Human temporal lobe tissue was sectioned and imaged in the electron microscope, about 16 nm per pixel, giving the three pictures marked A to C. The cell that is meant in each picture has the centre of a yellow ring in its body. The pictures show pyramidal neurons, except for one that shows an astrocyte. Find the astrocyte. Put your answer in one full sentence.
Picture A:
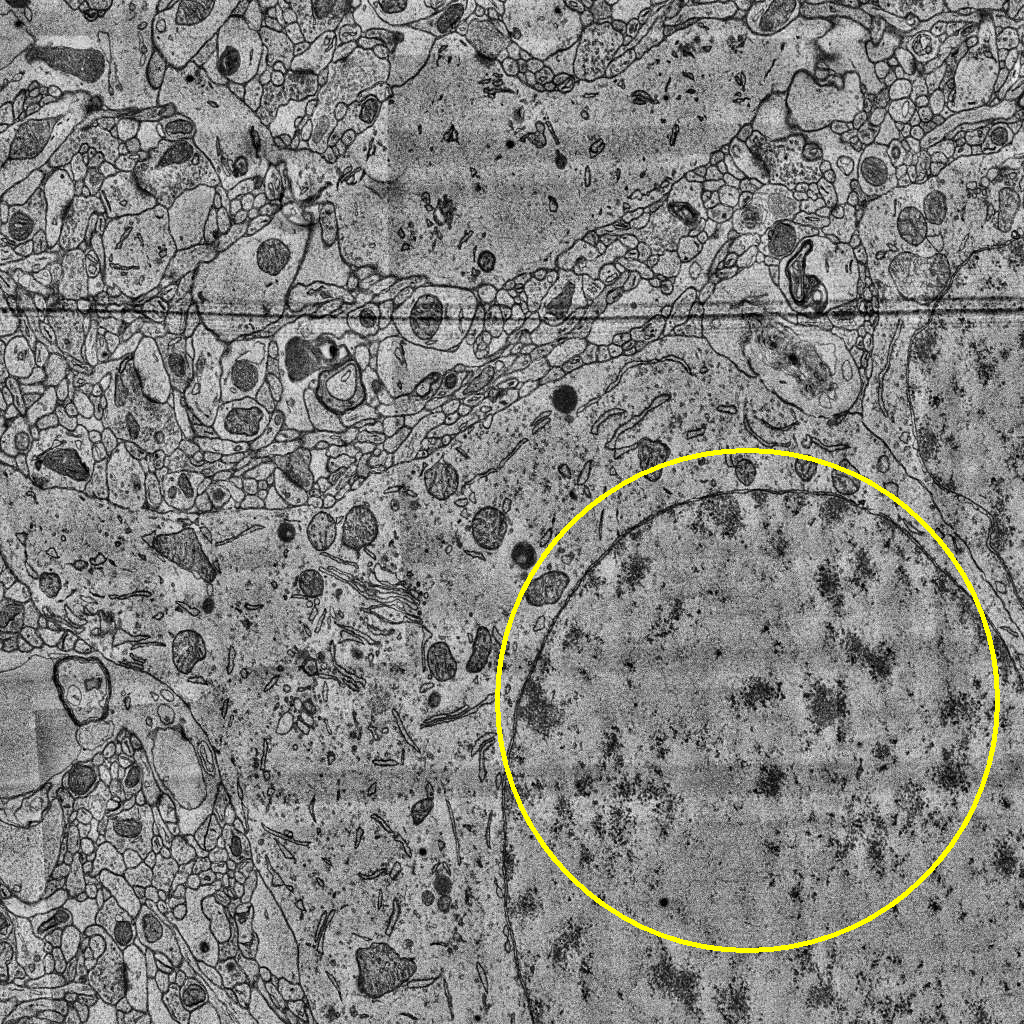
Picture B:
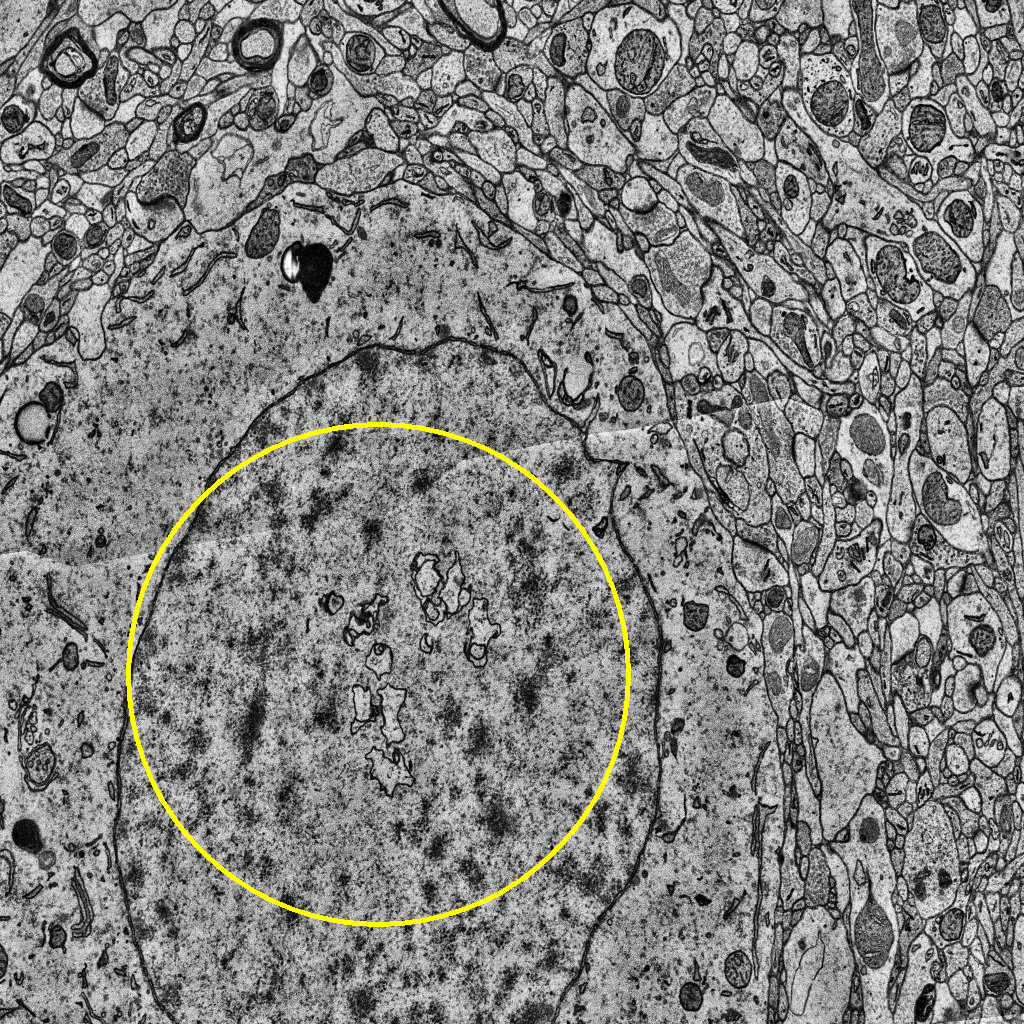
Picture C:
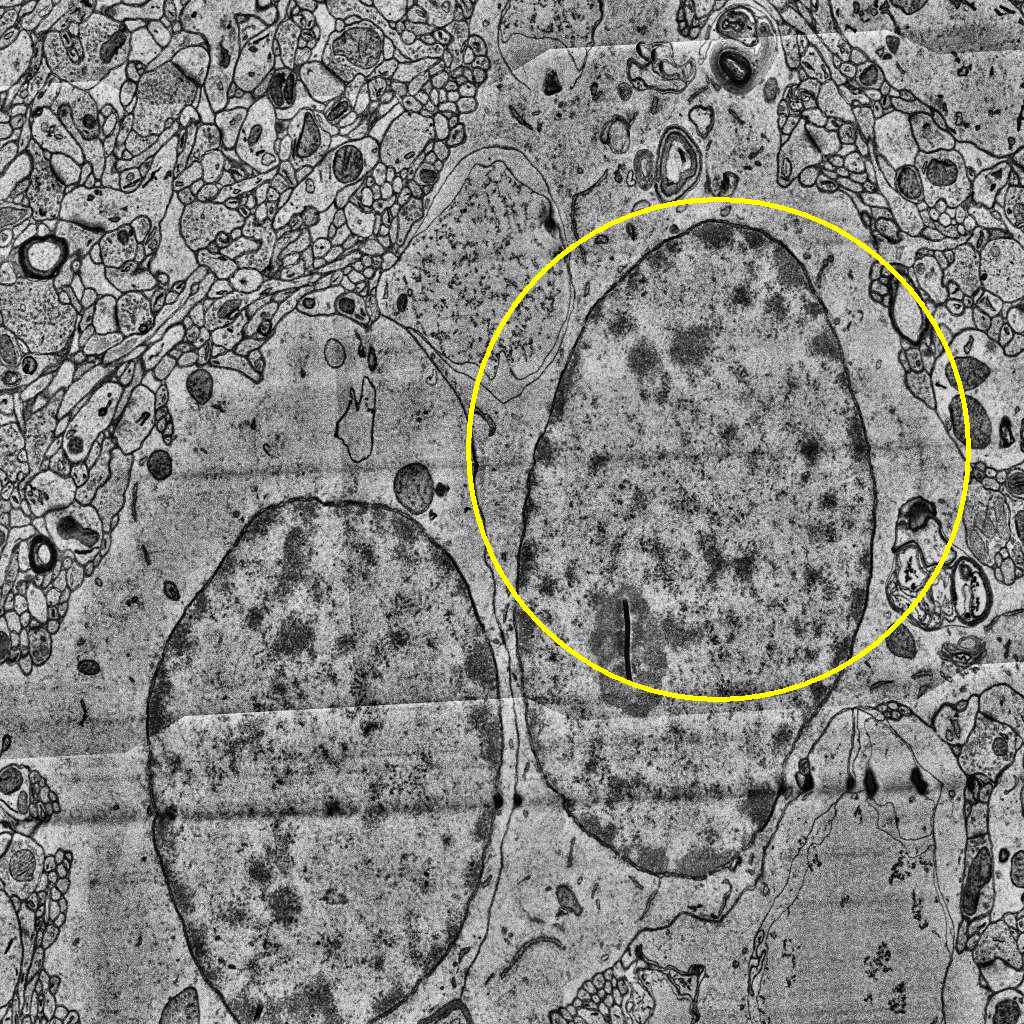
The cell in picture C is the astrocyte.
